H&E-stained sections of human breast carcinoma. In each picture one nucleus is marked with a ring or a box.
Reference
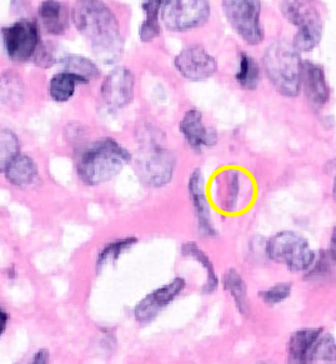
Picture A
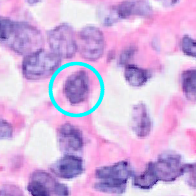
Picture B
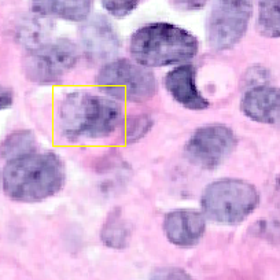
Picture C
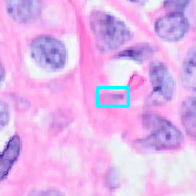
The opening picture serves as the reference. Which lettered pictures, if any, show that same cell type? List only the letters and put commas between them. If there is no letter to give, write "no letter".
C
